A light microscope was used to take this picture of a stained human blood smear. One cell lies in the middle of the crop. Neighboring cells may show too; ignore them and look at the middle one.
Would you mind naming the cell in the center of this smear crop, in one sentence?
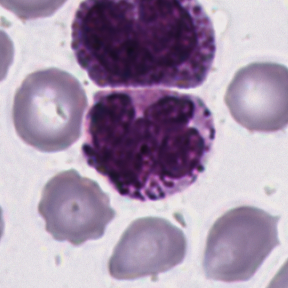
Of the cells in this crop, the central one is a basophil.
